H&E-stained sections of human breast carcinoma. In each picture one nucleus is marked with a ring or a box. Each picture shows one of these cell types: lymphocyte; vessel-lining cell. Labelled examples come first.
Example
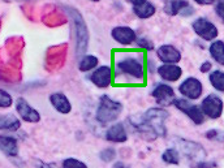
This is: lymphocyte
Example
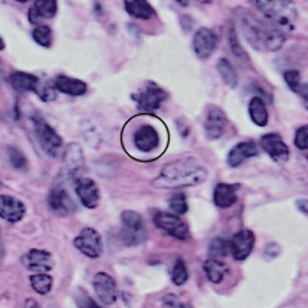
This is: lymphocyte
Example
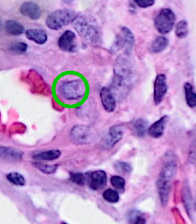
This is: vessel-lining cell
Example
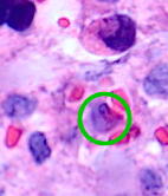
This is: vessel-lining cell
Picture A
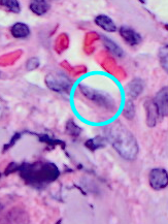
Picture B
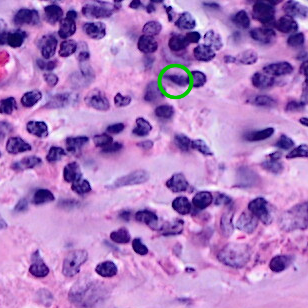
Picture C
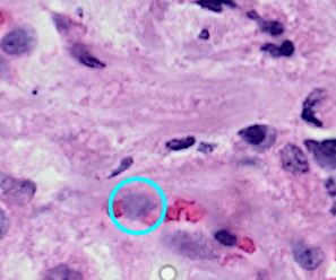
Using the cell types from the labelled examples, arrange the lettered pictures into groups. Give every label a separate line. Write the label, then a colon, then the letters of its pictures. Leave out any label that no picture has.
lymphocyte: B
vessel-lining cell: A, C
